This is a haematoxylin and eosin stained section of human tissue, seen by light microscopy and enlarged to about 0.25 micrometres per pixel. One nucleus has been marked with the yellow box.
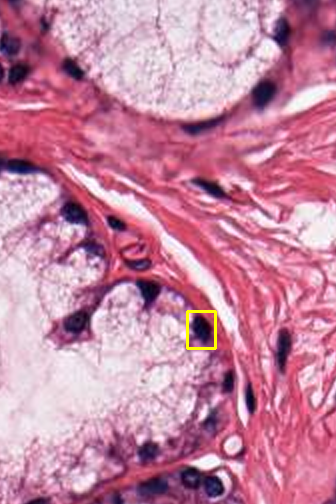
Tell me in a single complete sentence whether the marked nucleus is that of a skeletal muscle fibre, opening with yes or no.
No, the marked nucleus sits in a mucous gland cell, not in a skeletal muscle fibre.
